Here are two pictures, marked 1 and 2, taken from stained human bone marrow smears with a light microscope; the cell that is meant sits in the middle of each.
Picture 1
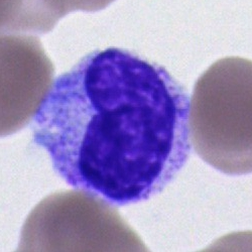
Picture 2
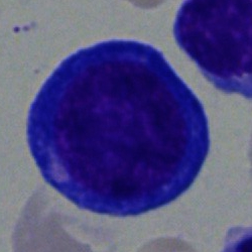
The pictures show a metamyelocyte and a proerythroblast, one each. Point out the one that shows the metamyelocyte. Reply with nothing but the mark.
1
